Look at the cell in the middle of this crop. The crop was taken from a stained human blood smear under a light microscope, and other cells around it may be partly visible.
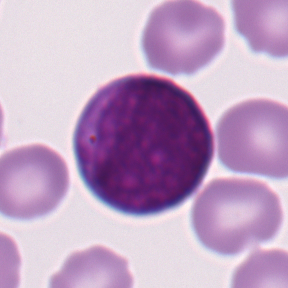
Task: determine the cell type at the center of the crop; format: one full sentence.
This crop is built around a myeloblast at its centre.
